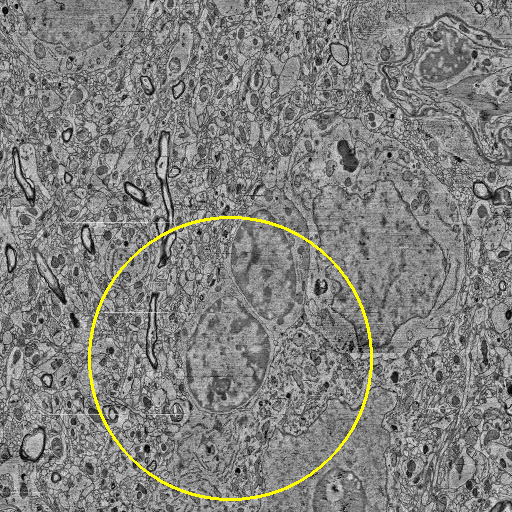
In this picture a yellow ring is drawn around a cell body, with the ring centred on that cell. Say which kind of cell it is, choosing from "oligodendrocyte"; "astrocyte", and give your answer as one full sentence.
Here it is an oligodendrocyte that sits at the centre of the drawn yellow ring.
